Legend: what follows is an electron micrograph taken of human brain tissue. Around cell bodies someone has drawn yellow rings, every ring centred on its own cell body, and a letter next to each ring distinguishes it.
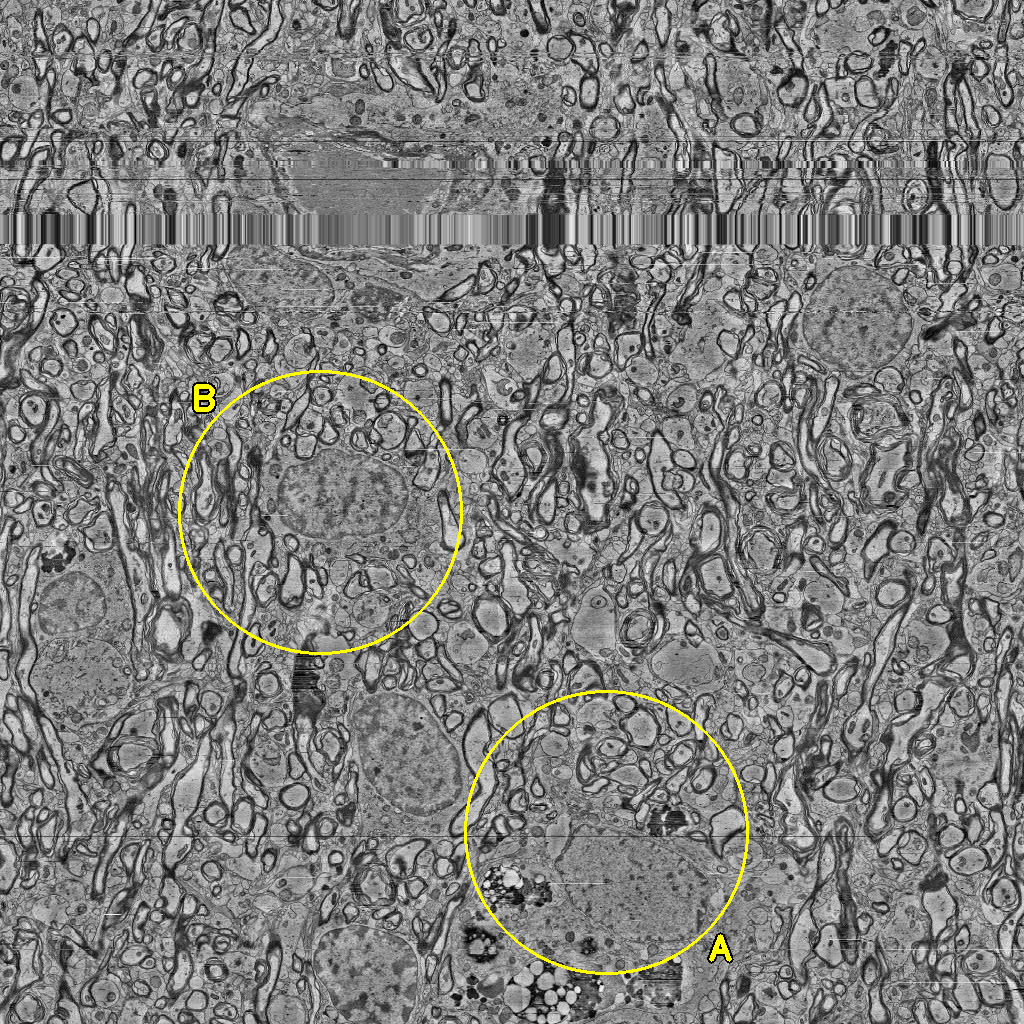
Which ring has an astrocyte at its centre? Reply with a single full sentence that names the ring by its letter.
Ring A is the one centred on the cell asked for in the picture.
